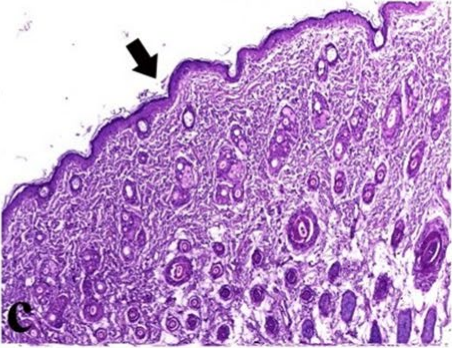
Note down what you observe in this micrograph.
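This is a section of skin in which a continuous epithelium covers the surface and the dermis beneath is crowded with adnexal structures. The epithelium forms a thin, dark purple band that follows a gently undulating surface. Below it, the dermis consists of pale pink, loosely arranged connective tissue. Numerous hair follicles cut in cross and oblique section are scattered through the dermis, appearing as rounded purple profiles with concentric cell layers, some with a pink central core.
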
